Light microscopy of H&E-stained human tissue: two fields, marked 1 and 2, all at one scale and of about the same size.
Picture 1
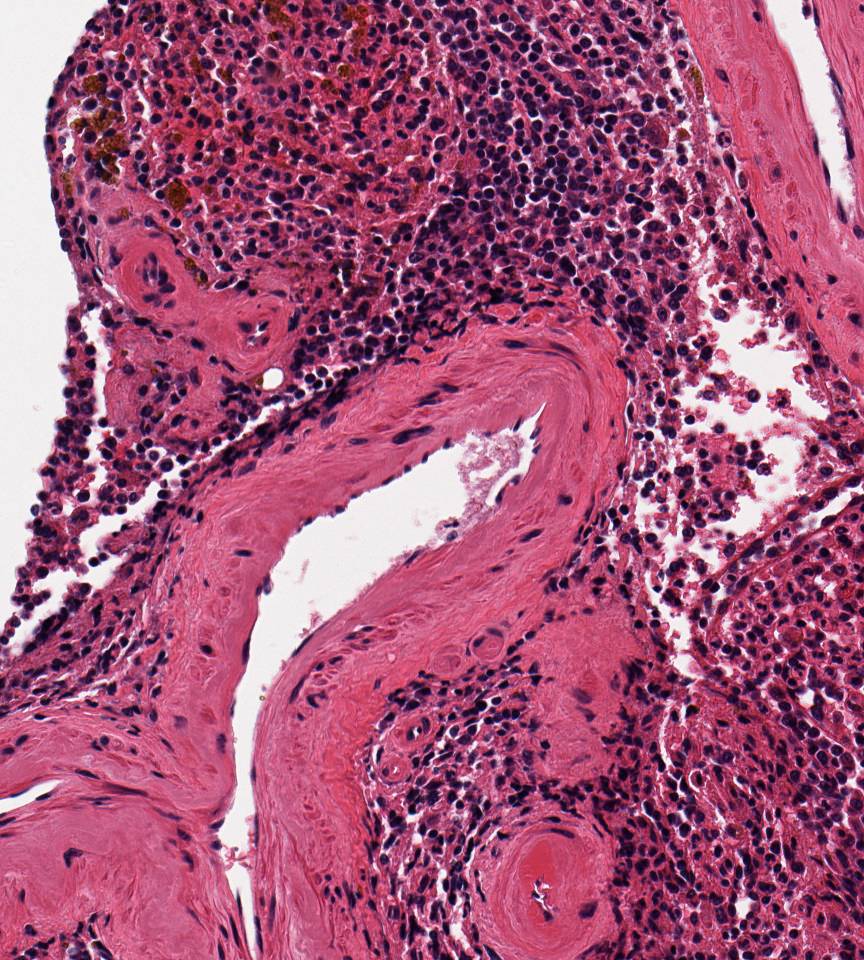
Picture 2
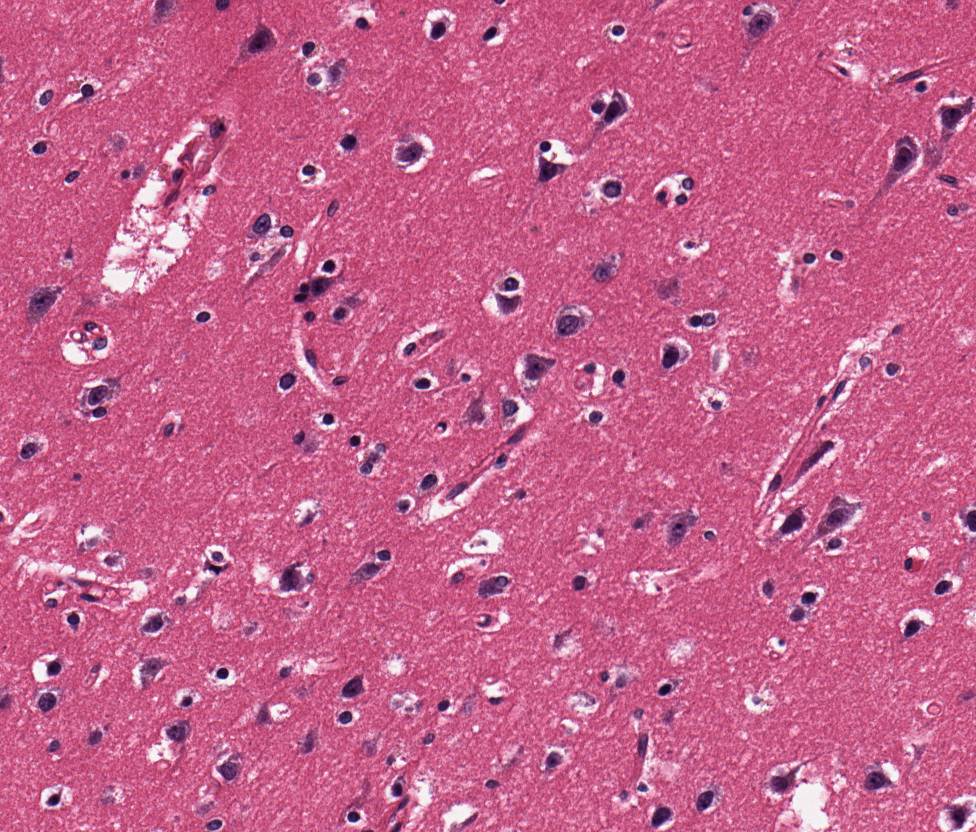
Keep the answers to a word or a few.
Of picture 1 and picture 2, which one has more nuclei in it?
1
